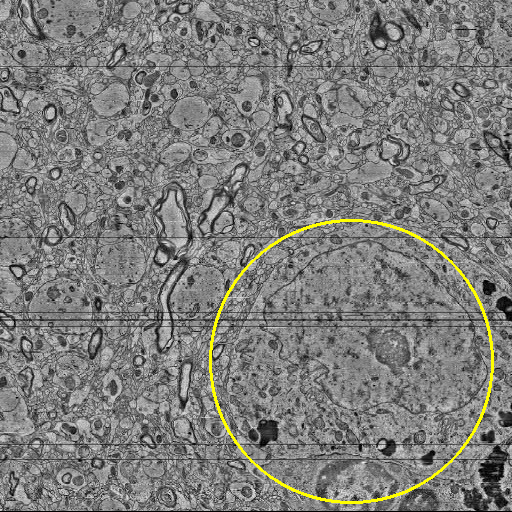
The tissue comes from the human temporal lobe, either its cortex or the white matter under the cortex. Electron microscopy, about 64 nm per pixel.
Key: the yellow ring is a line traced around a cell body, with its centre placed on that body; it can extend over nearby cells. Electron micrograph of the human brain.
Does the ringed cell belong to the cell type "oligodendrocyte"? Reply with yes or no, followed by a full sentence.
No, the cell at the centre of the yellow ring in the picture is of another type.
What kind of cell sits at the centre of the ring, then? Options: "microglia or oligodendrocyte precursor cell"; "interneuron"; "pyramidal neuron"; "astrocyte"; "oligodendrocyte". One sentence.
This picture has a pyramidal neuron at the centre of its ring.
